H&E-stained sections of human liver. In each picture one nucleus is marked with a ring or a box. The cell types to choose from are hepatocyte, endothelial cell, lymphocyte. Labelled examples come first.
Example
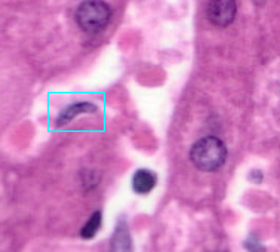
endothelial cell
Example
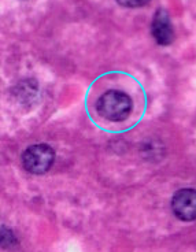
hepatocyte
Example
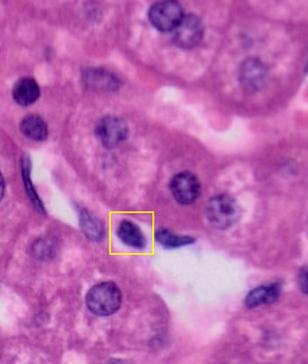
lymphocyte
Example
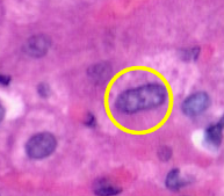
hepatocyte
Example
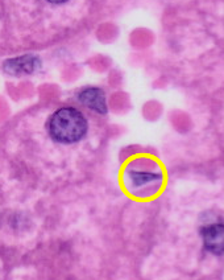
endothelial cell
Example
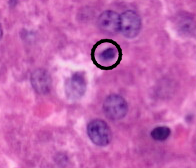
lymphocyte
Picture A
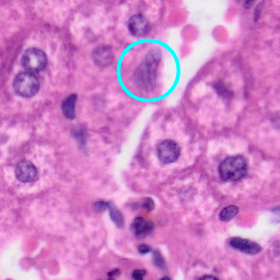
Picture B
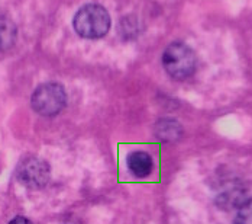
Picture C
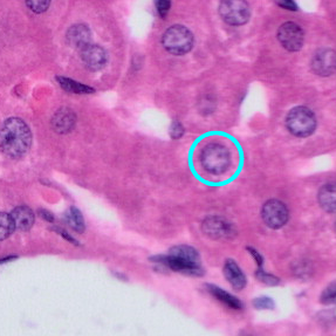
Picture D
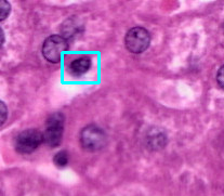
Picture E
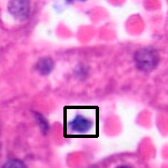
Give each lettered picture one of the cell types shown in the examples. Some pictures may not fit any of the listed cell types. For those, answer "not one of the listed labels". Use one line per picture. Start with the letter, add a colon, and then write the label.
A: not one of the listed labels
B: lymphocyte
C: hepatocyte
D: not one of the listed labels
E: lymphocyte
